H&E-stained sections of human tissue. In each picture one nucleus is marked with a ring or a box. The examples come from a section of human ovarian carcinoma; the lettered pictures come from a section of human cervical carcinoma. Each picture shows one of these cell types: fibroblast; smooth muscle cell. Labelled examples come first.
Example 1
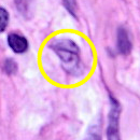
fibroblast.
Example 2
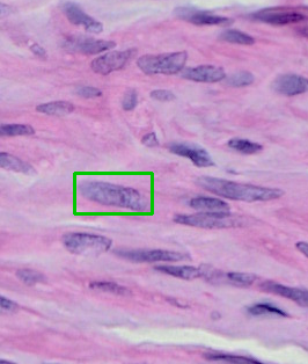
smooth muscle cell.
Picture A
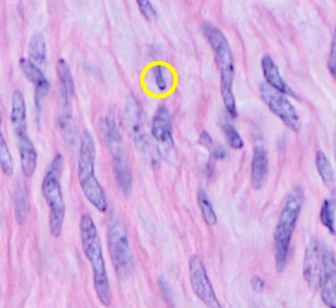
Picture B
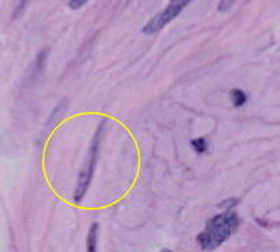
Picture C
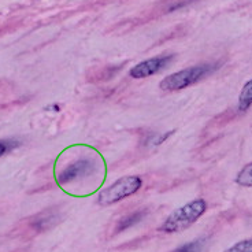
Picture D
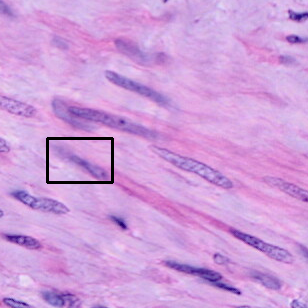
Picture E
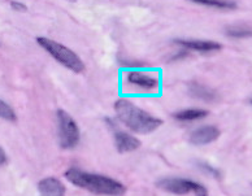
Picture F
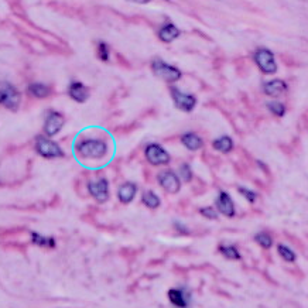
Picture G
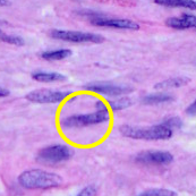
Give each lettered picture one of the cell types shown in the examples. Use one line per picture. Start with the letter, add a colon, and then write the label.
A: smooth muscle cell.
B: fibroblast.
C: smooth muscle cell.
D: smooth muscle cell.
E: fibroblast.
F: smooth muscle cell.
G: fibroblast.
